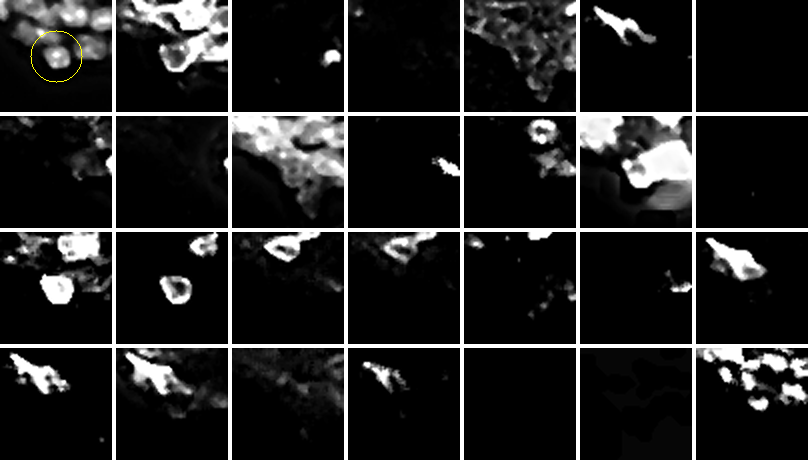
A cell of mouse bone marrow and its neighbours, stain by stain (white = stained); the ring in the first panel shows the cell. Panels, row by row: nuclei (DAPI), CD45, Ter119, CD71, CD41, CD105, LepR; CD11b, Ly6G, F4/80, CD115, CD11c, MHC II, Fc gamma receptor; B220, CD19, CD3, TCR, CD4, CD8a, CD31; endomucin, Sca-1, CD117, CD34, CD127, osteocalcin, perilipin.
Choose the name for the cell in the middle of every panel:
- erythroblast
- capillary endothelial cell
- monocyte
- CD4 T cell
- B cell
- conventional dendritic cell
B cell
